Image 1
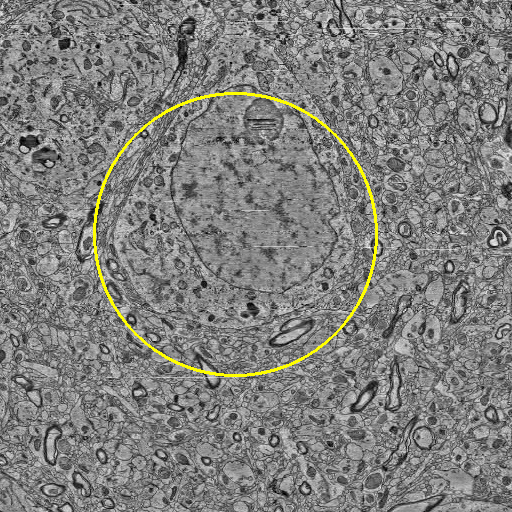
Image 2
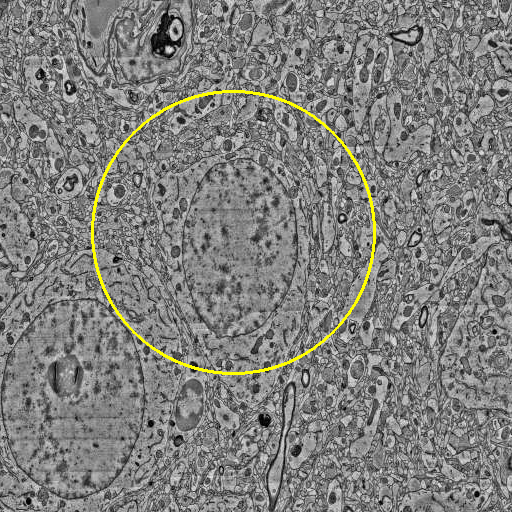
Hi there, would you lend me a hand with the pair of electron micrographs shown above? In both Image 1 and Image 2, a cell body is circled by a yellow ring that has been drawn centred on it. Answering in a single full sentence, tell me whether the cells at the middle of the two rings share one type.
Yes, the ringed cells in Image 1 and Image 2 share one type.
